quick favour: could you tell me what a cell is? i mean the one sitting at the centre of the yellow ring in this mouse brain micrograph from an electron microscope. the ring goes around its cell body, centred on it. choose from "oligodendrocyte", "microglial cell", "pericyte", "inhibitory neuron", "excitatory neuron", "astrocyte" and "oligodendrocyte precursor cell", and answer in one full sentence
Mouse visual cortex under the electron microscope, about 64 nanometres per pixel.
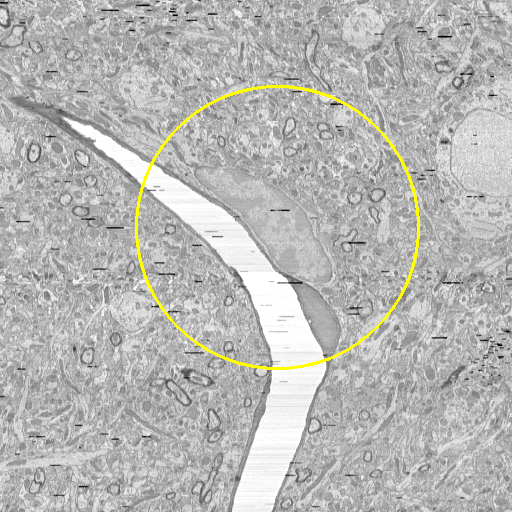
That's a microglial cell, the cell sitting at the centre of the yellow ring.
